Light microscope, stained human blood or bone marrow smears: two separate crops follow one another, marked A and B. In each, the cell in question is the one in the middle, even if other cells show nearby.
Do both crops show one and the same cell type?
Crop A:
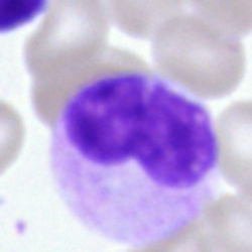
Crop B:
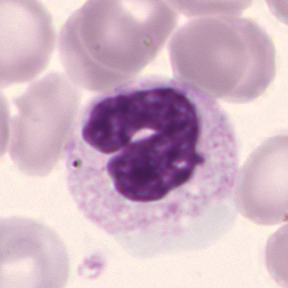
no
